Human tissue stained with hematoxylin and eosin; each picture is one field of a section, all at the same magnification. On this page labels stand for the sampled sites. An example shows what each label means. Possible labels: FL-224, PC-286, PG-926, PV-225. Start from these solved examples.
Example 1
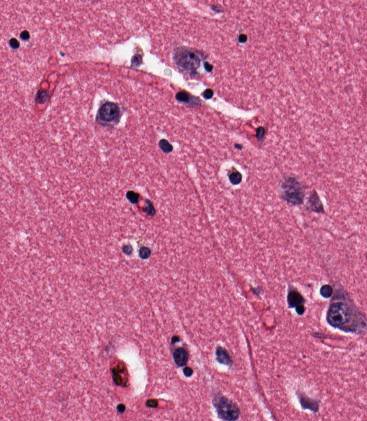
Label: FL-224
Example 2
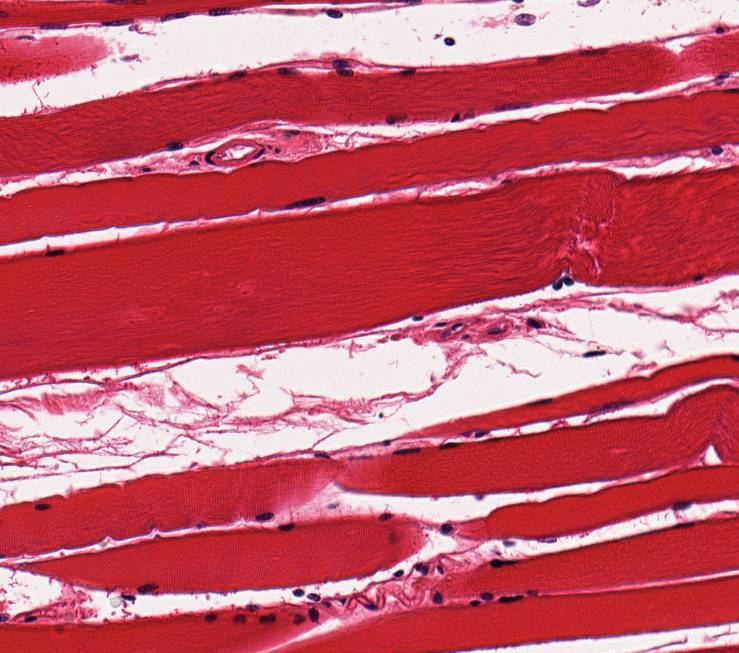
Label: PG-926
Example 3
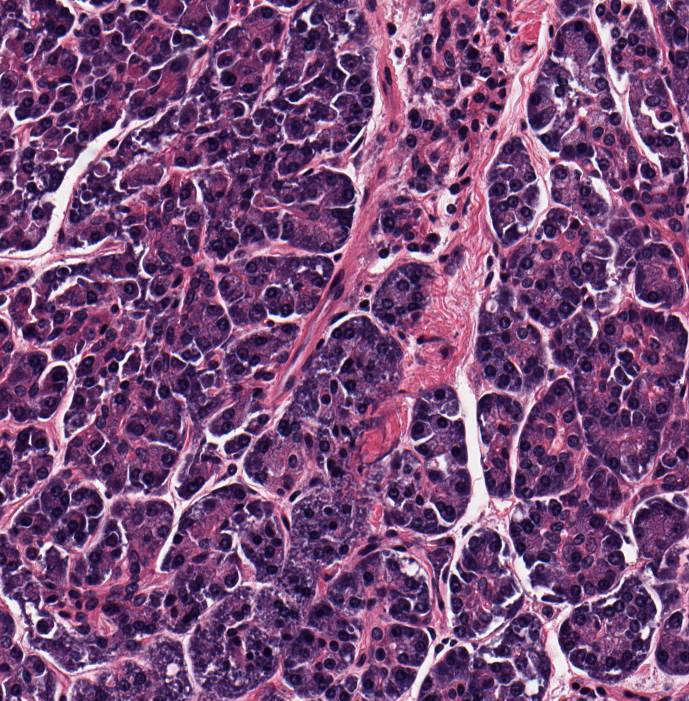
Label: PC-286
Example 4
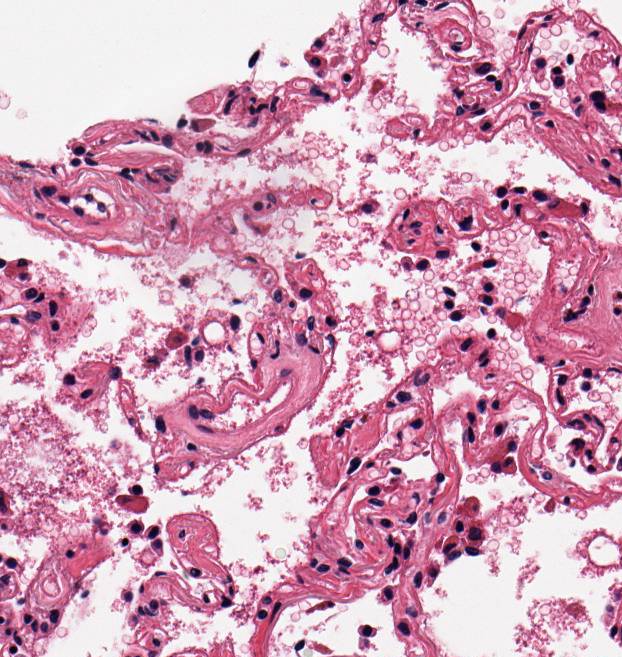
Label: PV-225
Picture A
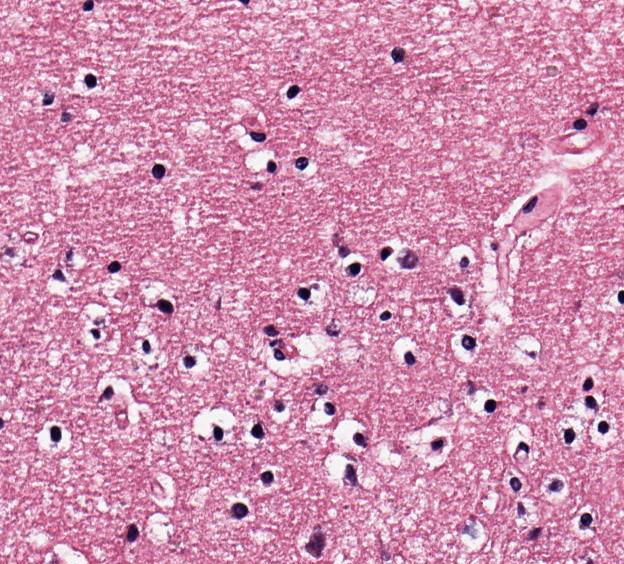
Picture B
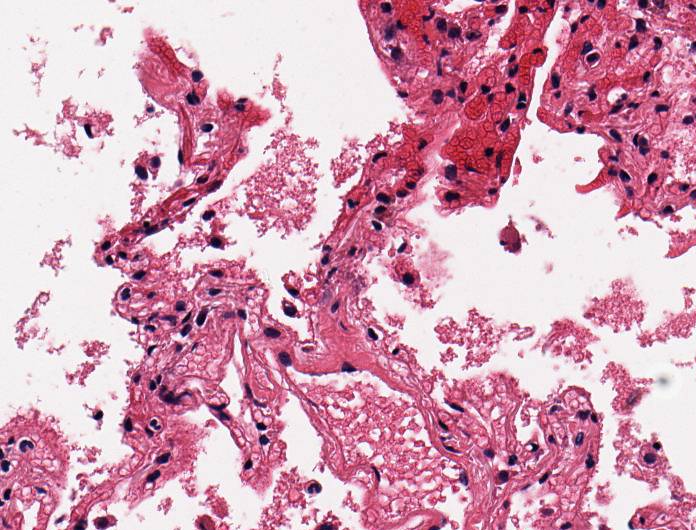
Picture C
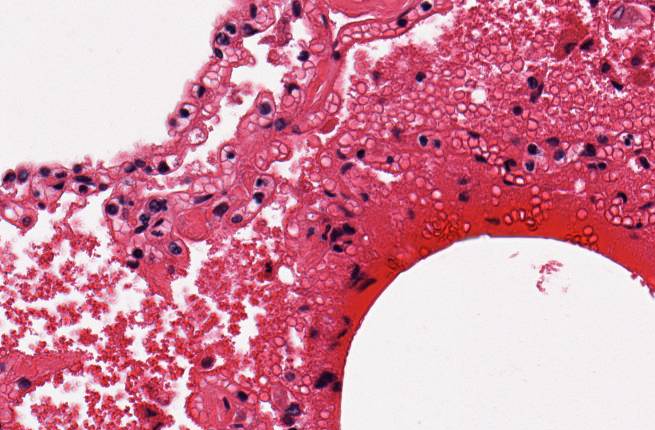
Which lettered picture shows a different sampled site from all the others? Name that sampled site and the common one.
A differs and shows FL-224; the others show PV-225.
